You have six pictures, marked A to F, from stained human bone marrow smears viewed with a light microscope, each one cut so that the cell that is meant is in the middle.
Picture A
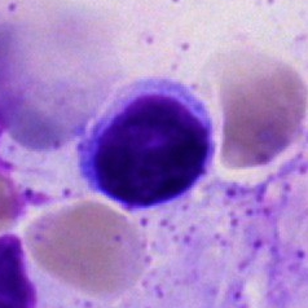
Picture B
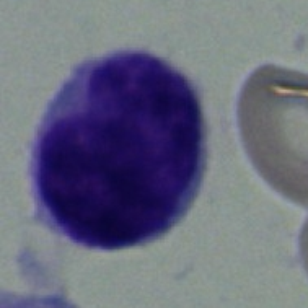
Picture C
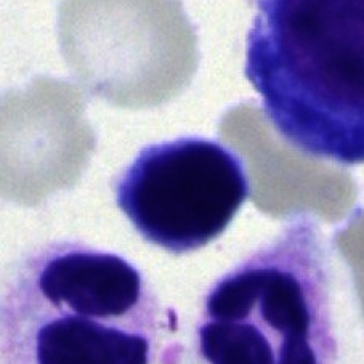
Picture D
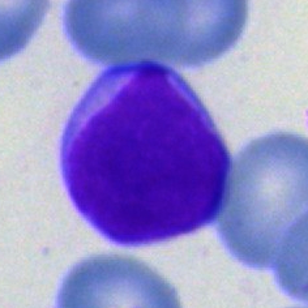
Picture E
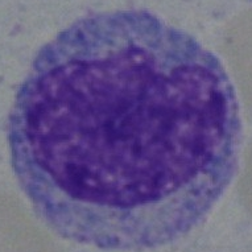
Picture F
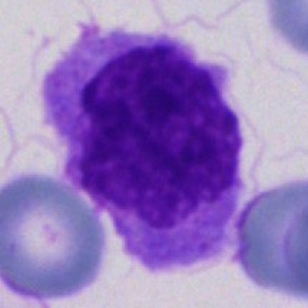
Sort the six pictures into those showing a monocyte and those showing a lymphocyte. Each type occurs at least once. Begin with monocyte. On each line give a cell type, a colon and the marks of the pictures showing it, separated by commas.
monocyte: E, F
lymphocyte: A, B, C, D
